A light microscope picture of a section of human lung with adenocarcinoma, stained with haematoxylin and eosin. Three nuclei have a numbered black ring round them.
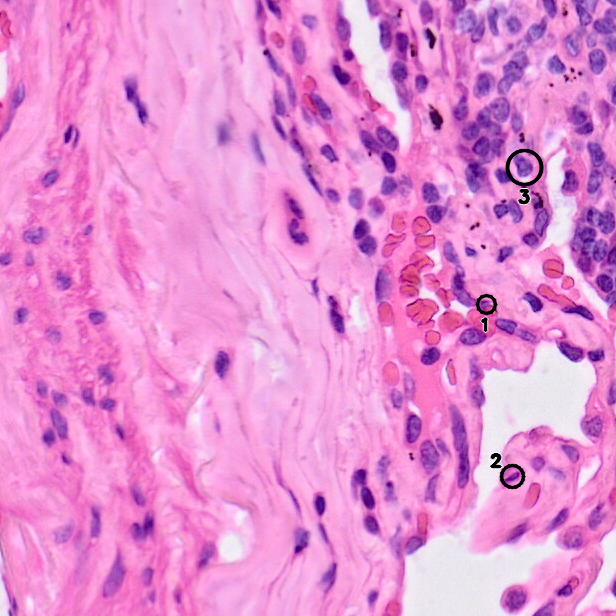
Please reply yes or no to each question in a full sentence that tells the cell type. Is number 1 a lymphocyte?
No, the marked cell 1 is not a lymphocyte, being instead an endothelial cell.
